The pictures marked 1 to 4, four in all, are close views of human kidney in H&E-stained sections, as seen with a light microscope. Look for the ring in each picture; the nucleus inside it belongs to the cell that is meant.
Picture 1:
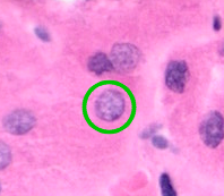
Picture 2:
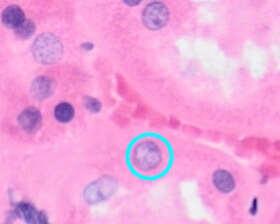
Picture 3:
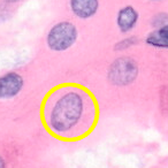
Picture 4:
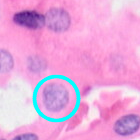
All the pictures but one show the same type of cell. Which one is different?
4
